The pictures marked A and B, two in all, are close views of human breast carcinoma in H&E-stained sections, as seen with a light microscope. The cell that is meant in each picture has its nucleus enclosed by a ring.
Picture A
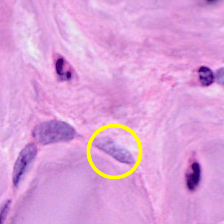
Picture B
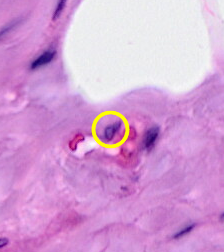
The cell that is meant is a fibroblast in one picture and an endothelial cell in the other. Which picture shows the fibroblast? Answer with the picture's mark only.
A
